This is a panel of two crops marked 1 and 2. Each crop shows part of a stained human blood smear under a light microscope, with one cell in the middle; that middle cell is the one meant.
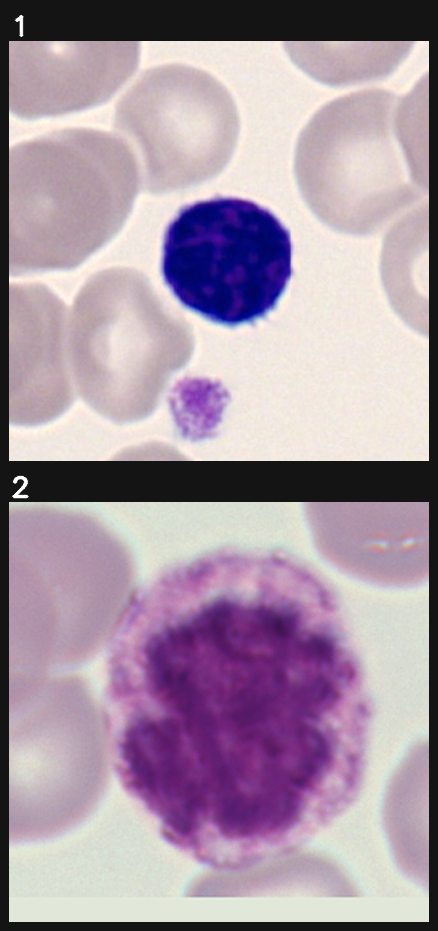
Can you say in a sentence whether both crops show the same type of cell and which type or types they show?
No, the cells are a lymphocyte in crop 1 and a basophil in crop 2.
